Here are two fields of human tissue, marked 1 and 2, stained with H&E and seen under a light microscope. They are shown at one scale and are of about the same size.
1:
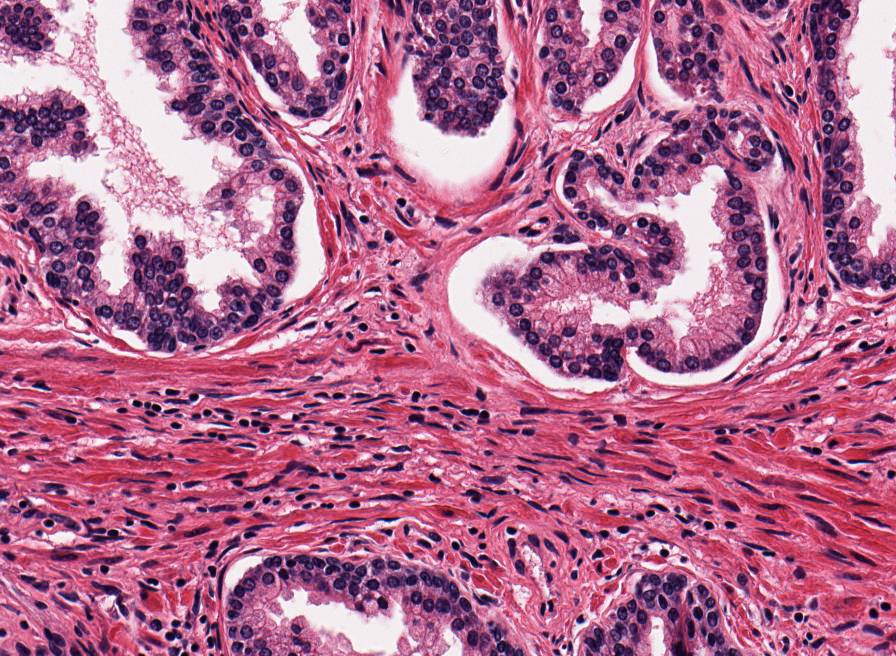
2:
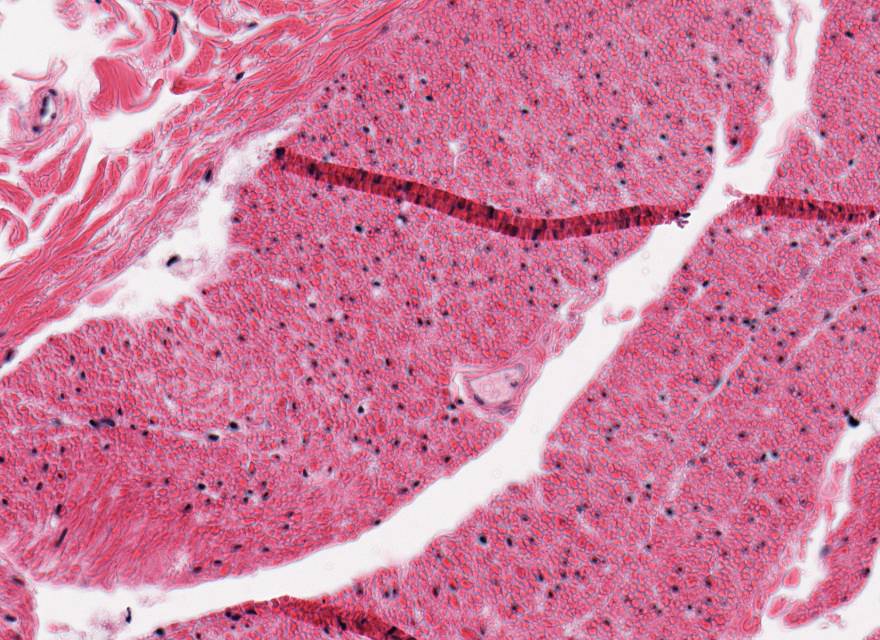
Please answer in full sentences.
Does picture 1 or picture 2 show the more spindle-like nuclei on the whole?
It is picture 1 whose nuclei are the more elongated.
